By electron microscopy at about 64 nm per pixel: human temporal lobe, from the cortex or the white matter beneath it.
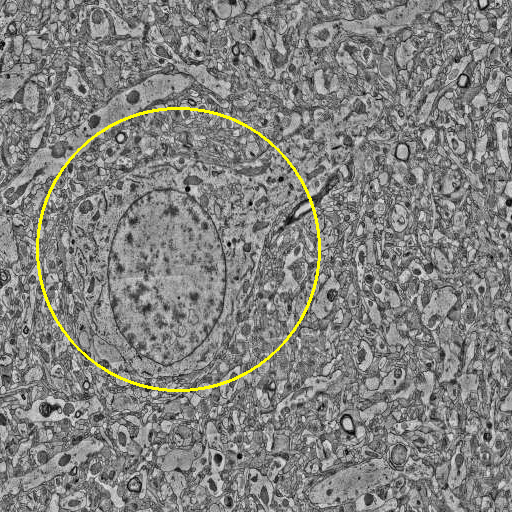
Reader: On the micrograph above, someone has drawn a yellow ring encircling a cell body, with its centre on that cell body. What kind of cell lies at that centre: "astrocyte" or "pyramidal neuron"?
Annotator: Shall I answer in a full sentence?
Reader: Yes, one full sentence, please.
Here a pyramidal neuron sits at the centre of the yellow ring drawn on the micrograph.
